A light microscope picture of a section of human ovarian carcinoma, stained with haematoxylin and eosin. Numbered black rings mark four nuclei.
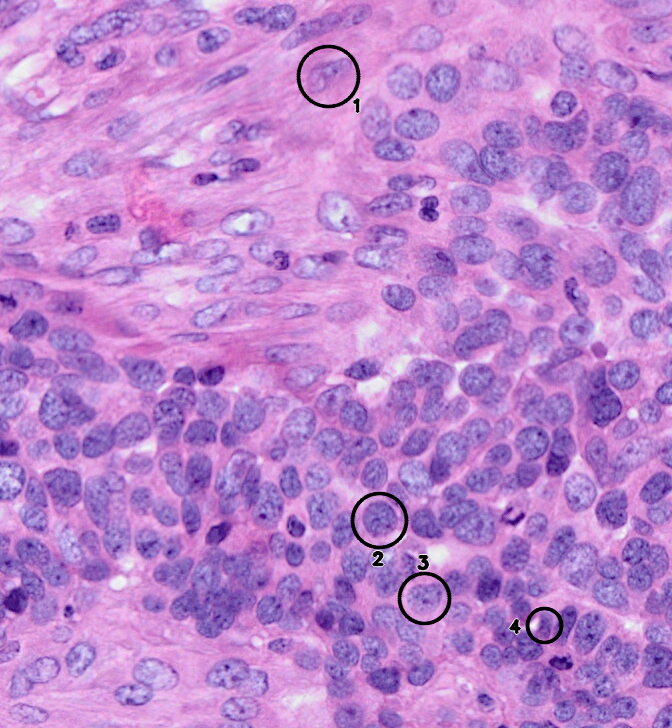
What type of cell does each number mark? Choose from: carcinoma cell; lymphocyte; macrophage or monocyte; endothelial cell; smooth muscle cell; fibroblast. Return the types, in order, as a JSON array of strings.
["fibroblast", "carcinoma cell", "carcinoma cell", "carcinoma cell"]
